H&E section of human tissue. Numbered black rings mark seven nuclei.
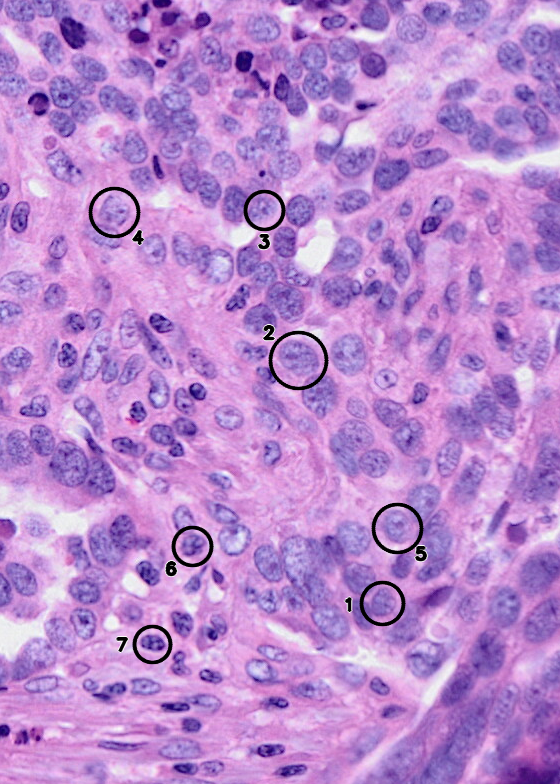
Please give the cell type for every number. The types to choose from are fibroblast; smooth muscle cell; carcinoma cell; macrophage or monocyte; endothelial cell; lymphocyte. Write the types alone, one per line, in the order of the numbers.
carcinoma cell
carcinoma cell
carcinoma cell
fibroblast
carcinoma cell
lymphocyte
lymphocyte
